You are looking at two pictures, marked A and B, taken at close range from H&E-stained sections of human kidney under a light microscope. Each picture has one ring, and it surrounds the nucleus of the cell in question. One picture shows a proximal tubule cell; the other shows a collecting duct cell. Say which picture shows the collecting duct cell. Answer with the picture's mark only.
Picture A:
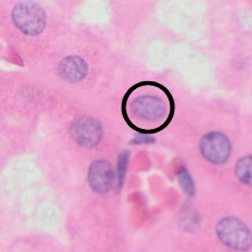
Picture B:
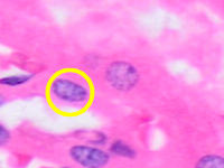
B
